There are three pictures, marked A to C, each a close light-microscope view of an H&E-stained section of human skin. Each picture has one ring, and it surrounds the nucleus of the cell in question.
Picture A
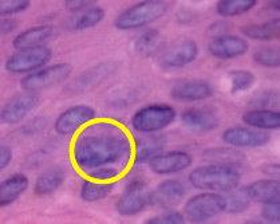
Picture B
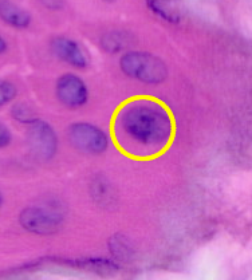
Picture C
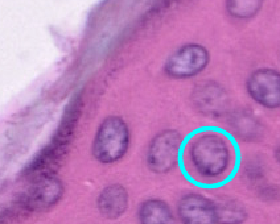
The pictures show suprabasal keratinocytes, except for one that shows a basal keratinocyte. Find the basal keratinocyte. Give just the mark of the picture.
A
